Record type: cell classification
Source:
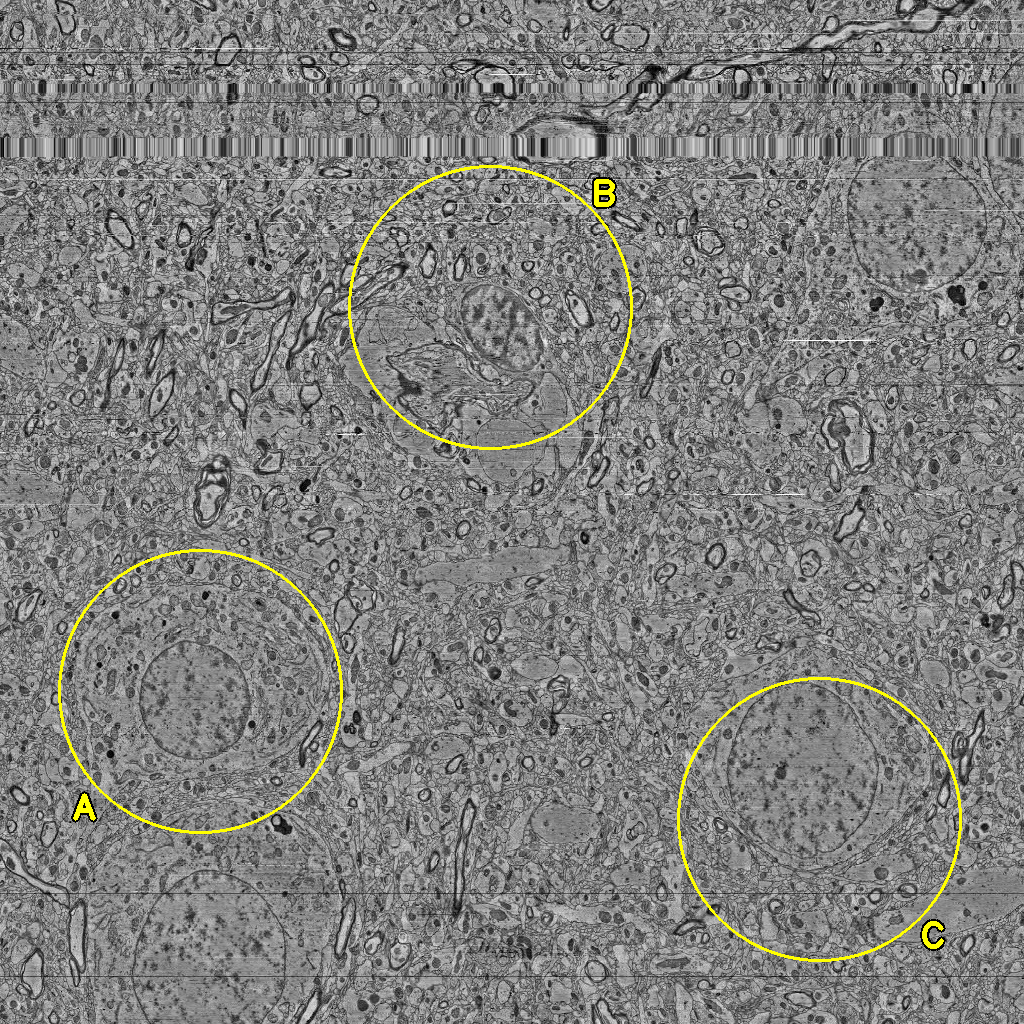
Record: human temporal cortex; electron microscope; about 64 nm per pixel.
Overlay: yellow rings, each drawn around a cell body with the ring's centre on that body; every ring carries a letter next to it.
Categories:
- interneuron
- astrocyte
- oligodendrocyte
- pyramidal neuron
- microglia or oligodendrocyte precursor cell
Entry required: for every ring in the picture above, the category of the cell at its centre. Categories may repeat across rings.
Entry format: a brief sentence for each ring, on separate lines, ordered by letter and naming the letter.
At the centre of ring A lies an interneuron.
At the centre of ring B lies an oligodendrocyte.
At the centre of ring C lies a pyramidal neuron.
